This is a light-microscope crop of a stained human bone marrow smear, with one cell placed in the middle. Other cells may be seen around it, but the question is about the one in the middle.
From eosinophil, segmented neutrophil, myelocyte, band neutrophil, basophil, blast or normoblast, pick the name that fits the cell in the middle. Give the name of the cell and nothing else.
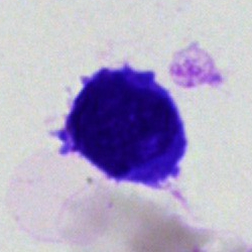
blast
